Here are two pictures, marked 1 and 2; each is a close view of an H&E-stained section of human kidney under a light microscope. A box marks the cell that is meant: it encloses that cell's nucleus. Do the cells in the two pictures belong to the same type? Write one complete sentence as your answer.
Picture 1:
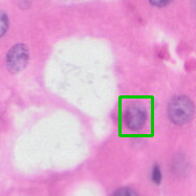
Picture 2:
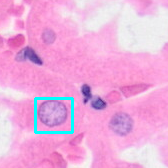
Yes, the two pictures both show proximal tubule cells.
